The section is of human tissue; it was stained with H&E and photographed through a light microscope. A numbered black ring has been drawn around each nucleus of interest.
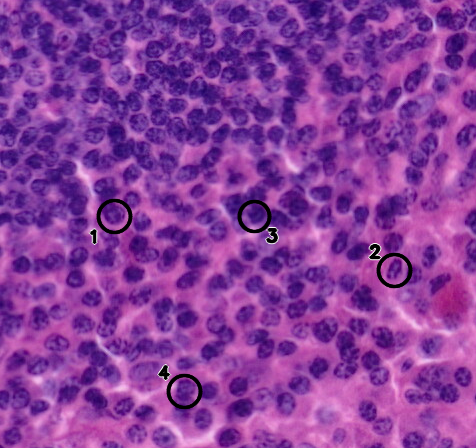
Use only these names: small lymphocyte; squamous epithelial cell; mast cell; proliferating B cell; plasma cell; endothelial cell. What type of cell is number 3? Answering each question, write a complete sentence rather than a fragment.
The numbered cell 3 is identified here as a small lymphocyte.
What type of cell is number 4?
Nucleus 4 in this section belongs to a plasma cell.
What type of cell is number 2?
The cell pointed out by number 2 is a plasma cell.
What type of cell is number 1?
The numeral 1 marks a plasma cell in this section.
